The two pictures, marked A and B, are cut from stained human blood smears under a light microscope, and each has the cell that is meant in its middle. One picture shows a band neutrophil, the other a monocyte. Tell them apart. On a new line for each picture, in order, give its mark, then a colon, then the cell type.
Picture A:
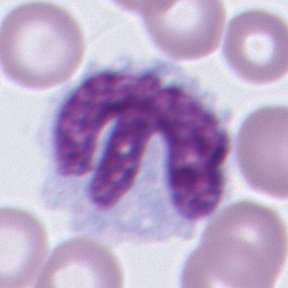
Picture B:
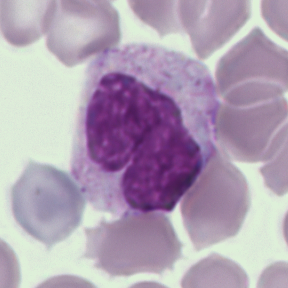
A: monocyte
B: band neutrophil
